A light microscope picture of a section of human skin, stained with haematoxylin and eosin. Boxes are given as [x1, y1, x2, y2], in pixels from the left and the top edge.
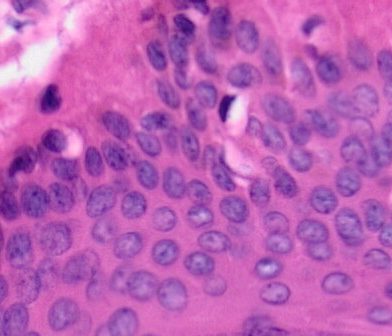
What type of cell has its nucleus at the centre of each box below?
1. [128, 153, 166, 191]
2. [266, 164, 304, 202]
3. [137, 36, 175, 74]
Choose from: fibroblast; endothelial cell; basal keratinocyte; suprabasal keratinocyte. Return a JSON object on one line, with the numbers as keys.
{"1": "suprabasal keratinocyte", "2": "basal keratinocyte", "3": "basal keratinocyte"}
